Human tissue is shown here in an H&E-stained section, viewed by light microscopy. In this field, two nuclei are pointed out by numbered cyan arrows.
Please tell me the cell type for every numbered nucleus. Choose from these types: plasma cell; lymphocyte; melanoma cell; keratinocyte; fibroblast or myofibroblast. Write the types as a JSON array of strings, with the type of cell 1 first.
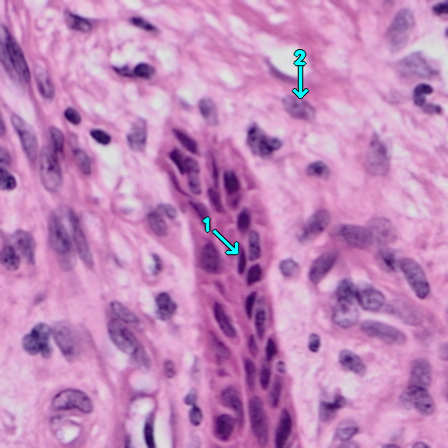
["keratinocyte", "fibroblast or myofibroblast"]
